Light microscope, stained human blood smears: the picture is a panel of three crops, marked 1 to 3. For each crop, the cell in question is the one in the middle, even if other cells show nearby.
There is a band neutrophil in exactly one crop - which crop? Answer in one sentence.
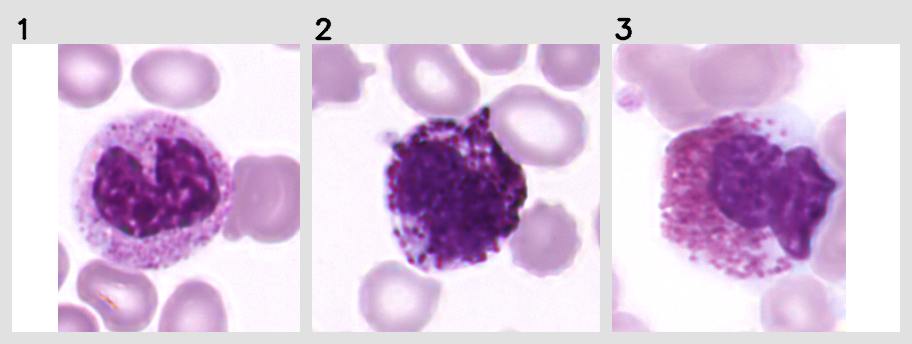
That would be crop 1; it shows a band neutrophil.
